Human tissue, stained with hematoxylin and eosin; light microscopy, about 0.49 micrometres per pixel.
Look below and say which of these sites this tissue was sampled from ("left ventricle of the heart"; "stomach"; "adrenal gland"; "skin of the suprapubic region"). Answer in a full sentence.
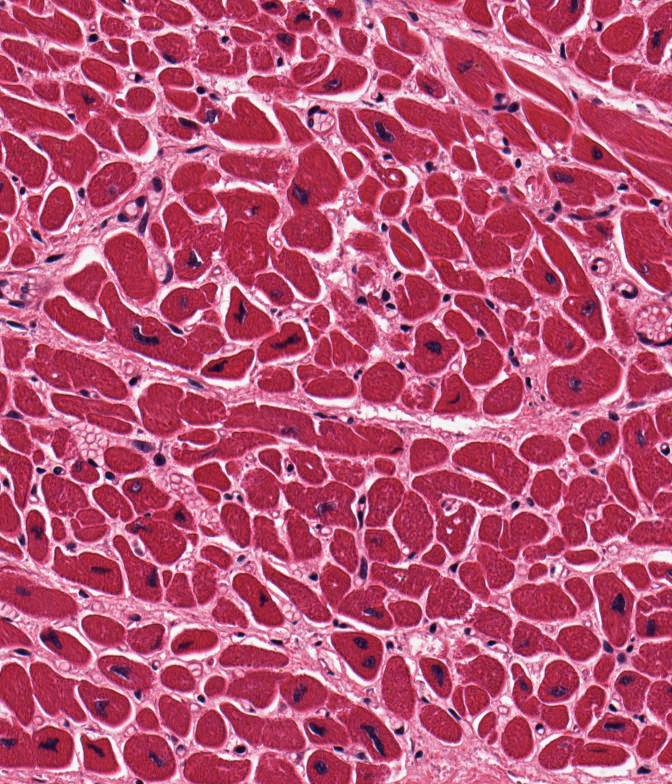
The site this tissue was sampled from is the left ventricle of the heart.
